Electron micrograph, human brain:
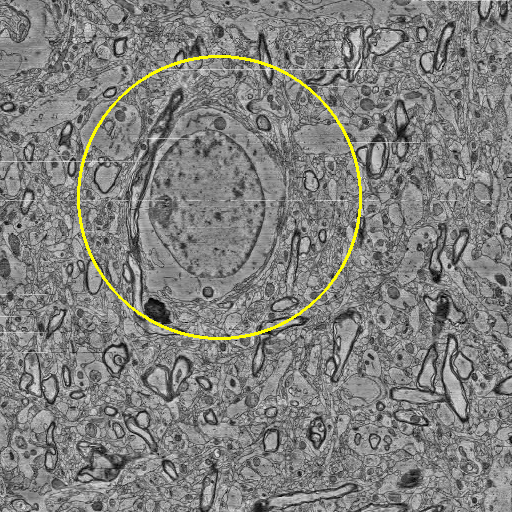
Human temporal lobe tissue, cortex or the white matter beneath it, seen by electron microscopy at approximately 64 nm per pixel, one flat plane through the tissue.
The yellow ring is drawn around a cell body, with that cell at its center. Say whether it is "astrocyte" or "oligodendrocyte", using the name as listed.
astrocyte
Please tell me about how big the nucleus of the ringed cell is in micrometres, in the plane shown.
Approximately 10 micrometres long and 8 micrometres wide, in this plane.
